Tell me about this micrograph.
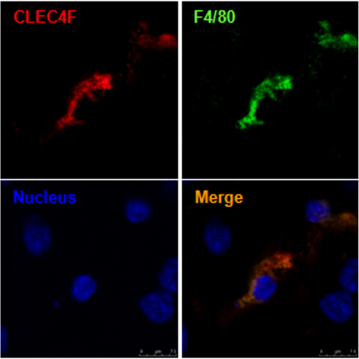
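A high-magnification view of liver shows one or two labelled resident macrophages, Kupffer cells, lying among unlabelled neighbours. The labelled cell has an irregular, elongated and somewhat branched outline. The red and green signals trace the same shape, and in the merged image they overlap to orange-yellow along the cell's surface. Several round to oval blue nuclei are scattered in the field. Most of them belong to cells that carry no red or green signal, and they likely belong to the surrounding liver cells. The labelled cell sits between these unlabelled cells, in keeping with a macrophage lodged within the liver sinusoids.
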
